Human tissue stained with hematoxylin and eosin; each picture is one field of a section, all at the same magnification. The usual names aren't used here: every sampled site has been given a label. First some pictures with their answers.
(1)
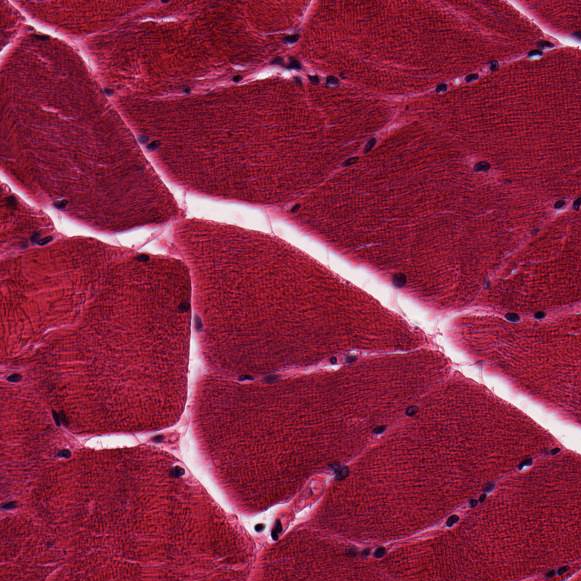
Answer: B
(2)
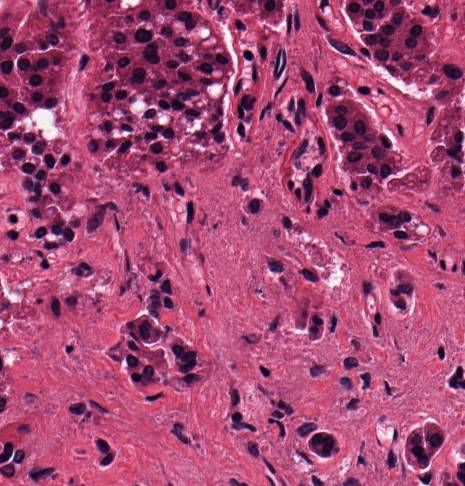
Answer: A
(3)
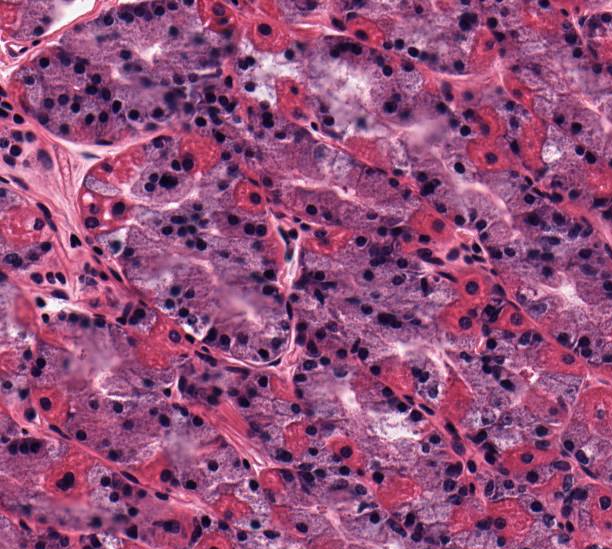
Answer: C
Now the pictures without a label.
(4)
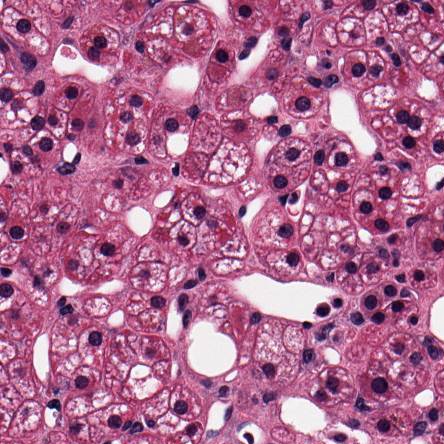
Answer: A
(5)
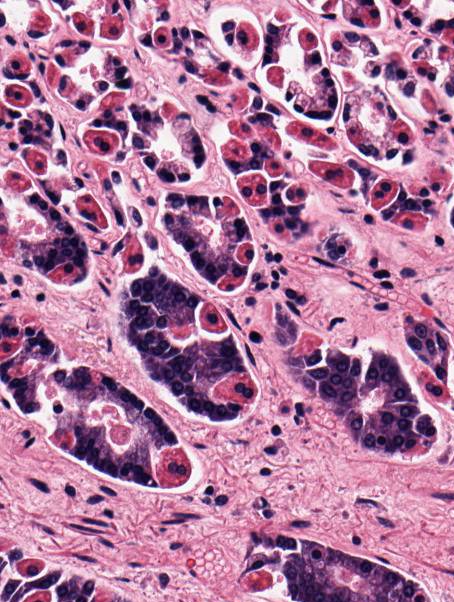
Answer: C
